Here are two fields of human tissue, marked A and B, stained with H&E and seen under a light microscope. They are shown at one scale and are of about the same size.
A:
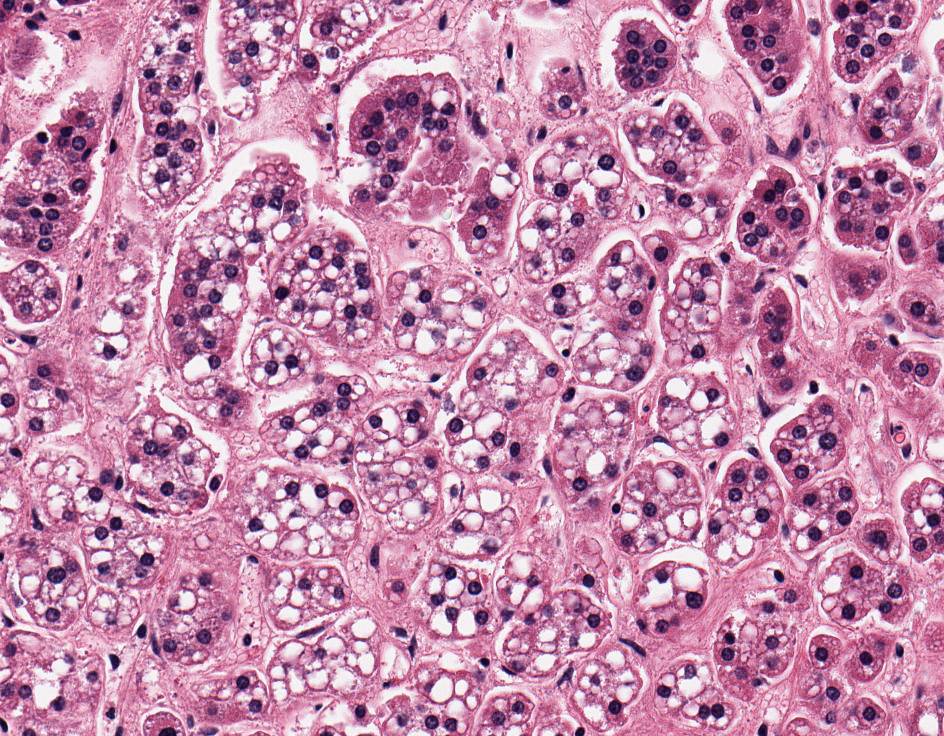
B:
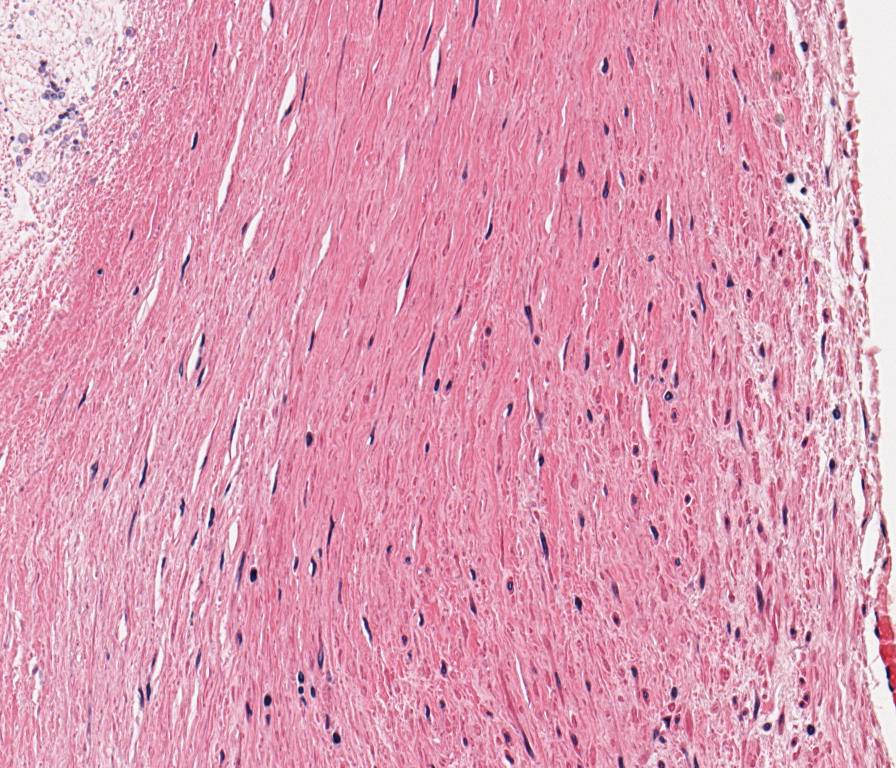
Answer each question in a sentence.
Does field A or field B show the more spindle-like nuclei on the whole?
It is field B whose nuclei are the more elongated.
